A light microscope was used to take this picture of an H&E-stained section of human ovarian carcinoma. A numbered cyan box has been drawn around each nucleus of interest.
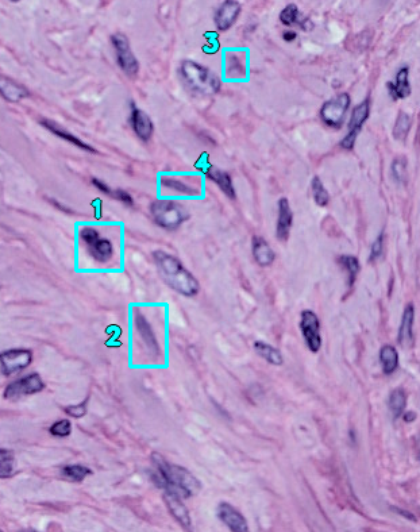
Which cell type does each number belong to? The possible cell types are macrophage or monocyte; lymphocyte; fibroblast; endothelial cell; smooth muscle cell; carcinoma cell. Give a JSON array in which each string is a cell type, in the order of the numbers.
["lymphocyte", "fibroblast", "fibroblast", "fibroblast"]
